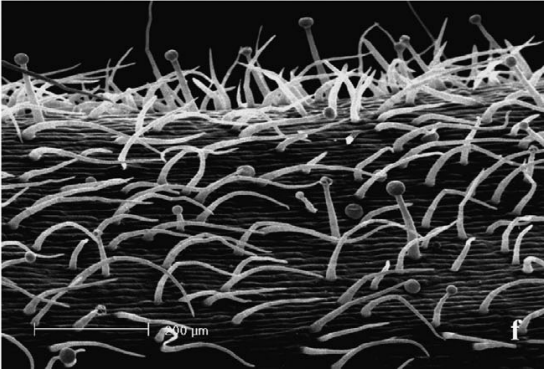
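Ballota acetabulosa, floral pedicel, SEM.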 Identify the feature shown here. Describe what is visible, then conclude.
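Most hairs are unbranched, curved and taper to a point. These pointed hairs lack a rounded head. A few straight hairs with a round head stand among them. That points to this answer: simple non‐glandular trichomes.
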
